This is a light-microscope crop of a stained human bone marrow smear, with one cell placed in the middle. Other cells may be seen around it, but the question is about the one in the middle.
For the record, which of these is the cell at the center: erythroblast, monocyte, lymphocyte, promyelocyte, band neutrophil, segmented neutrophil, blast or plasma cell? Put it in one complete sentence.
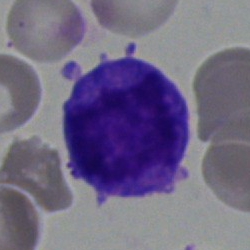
In this crop, the cell at the very middle is a promyelocyte.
